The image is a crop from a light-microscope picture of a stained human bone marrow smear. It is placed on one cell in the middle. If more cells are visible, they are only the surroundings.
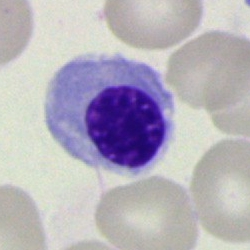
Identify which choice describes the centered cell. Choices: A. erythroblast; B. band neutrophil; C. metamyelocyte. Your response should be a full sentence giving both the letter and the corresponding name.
Identified correctly by option A, the cell in the middle is an erythroblast.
